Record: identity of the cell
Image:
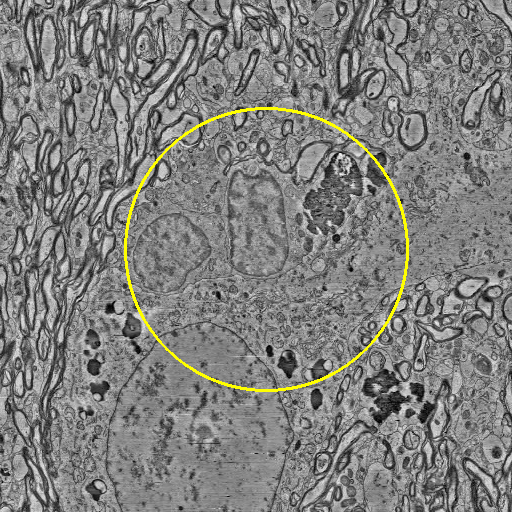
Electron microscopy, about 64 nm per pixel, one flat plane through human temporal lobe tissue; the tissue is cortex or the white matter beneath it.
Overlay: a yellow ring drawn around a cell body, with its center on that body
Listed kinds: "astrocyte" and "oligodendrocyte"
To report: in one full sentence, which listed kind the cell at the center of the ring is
In the image, the cell body at the ring's center belongs to an oligodendrocyte.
